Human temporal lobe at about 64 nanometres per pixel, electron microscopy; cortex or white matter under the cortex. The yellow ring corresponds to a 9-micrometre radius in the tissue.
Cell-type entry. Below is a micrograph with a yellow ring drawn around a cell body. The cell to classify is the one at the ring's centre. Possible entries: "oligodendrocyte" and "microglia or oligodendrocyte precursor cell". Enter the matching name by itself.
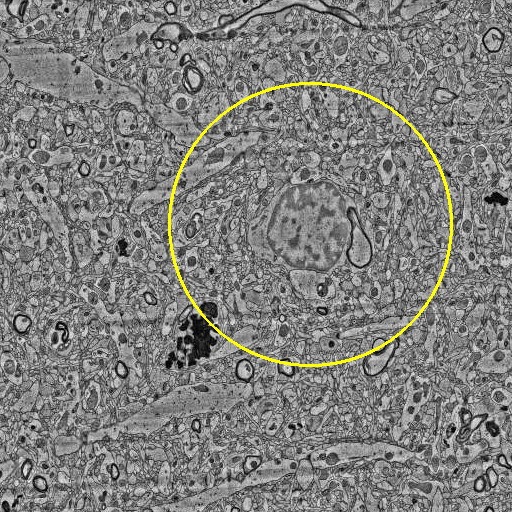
oligodendrocyte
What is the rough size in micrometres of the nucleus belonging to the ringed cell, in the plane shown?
About 6 micrometres across, as seen in this plane.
